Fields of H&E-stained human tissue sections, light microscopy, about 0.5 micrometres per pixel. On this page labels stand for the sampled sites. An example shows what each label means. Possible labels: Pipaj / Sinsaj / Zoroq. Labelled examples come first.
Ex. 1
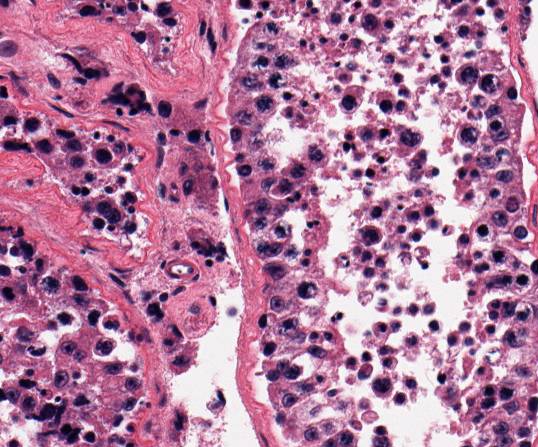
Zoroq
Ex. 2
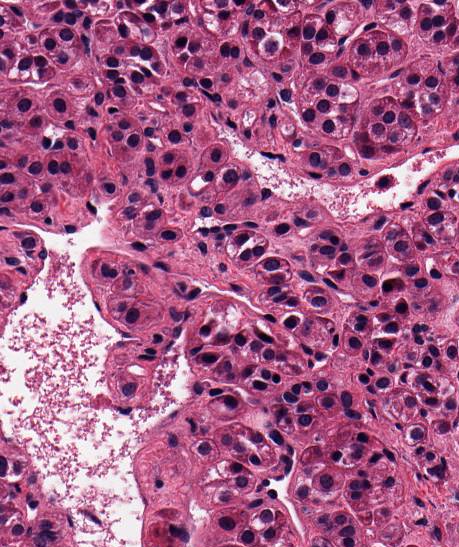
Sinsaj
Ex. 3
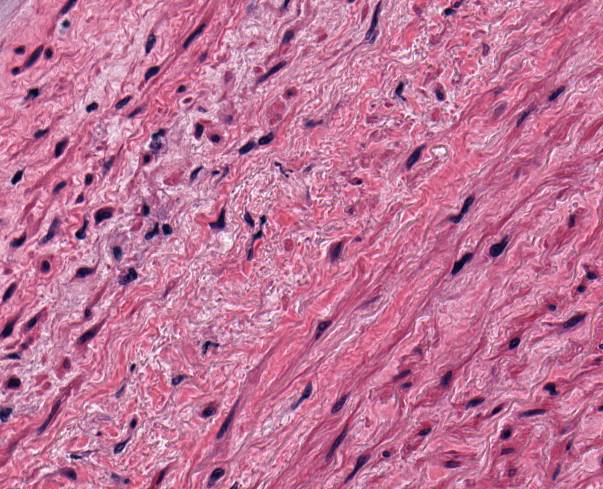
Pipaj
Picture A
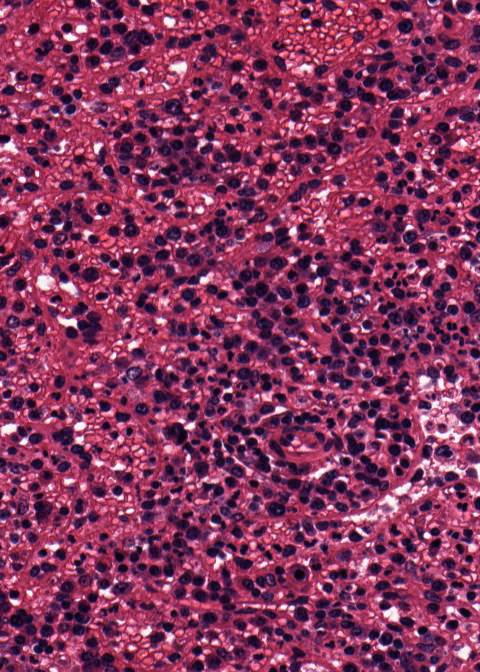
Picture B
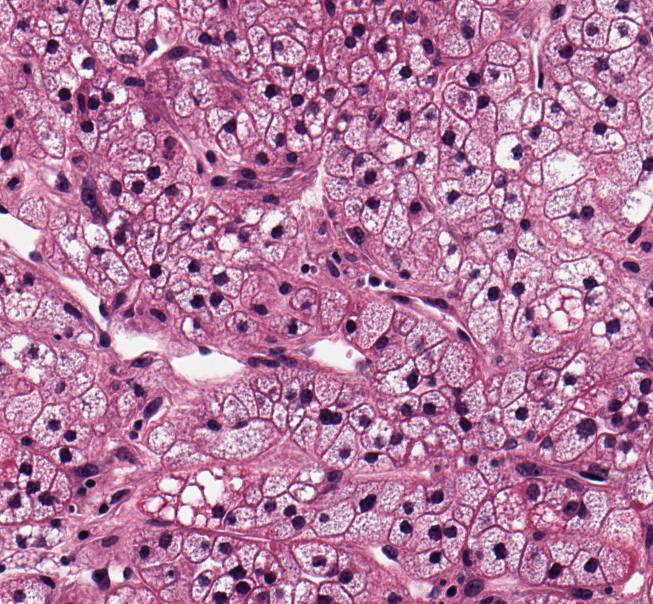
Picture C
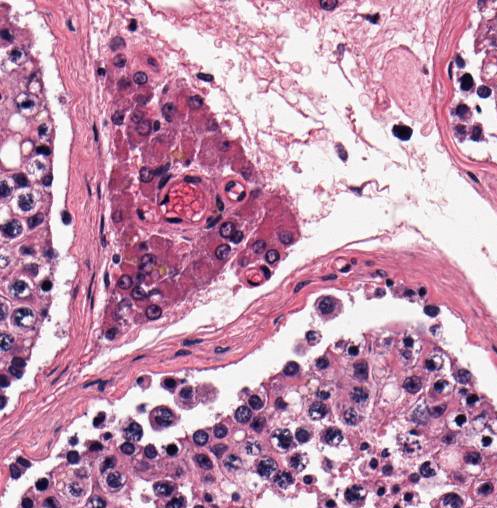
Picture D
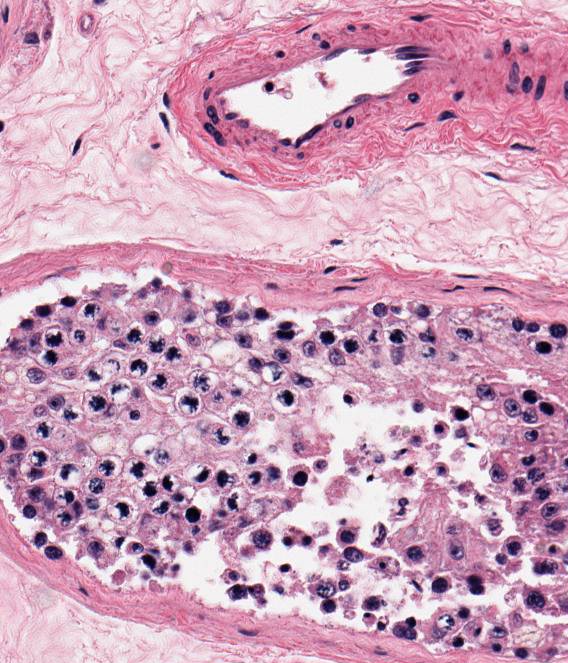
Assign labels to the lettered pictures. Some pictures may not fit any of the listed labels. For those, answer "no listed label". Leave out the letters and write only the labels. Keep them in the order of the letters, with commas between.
no listed label, Sinsaj, Zoroq, Zoroq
